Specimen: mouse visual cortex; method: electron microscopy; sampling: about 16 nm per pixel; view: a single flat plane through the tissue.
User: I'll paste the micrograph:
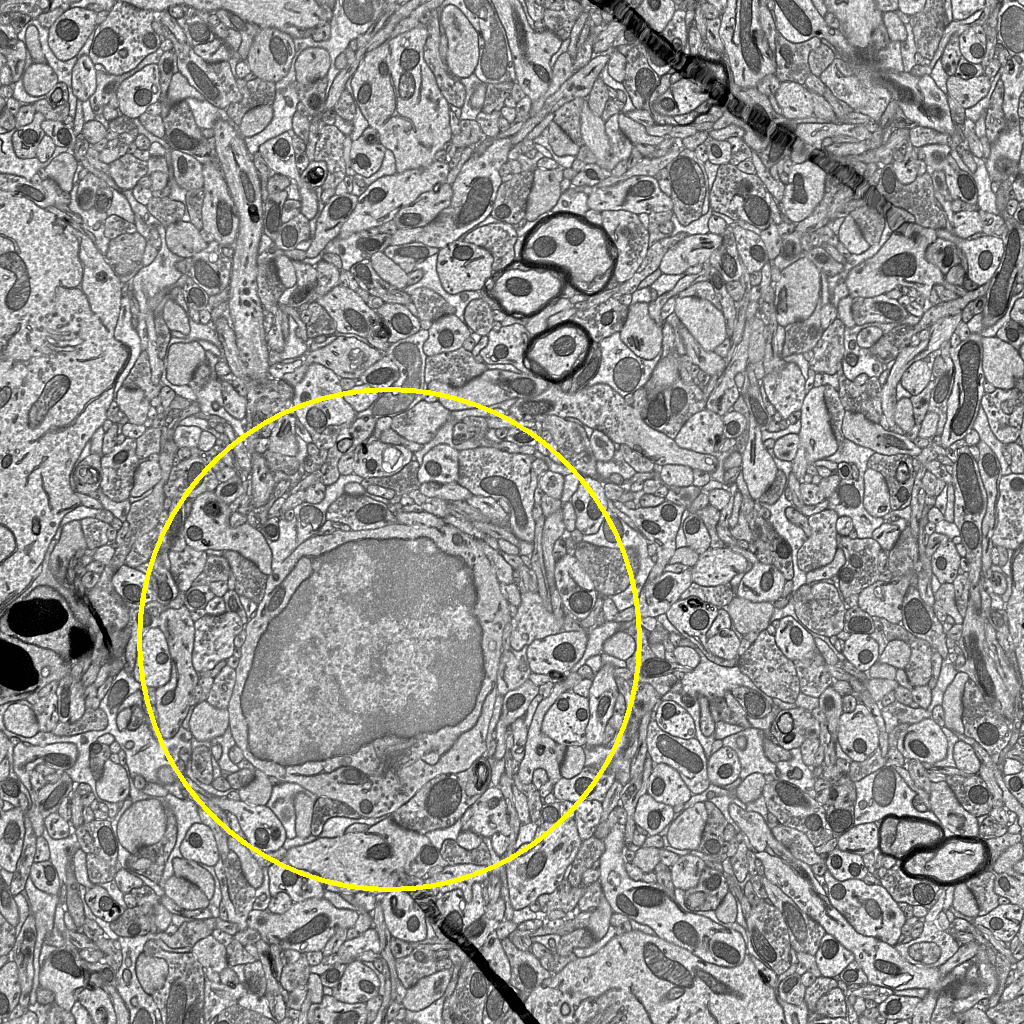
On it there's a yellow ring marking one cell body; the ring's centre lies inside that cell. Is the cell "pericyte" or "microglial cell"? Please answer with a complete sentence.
The cell at the centre of the yellow ring is a microglial cell.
